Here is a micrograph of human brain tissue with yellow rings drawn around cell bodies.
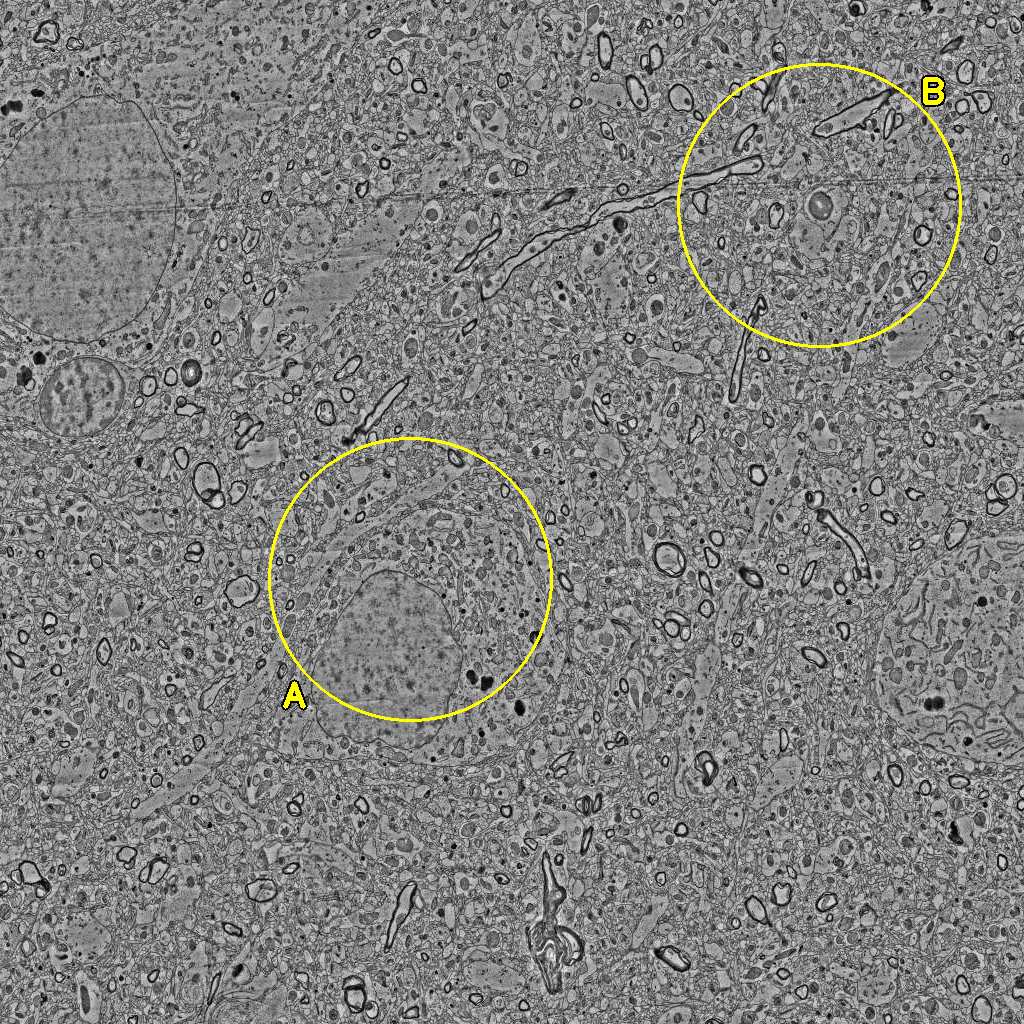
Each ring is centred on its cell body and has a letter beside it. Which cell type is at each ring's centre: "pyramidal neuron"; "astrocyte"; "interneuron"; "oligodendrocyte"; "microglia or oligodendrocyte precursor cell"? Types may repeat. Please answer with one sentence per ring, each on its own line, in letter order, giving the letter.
Ring A shows an interneuron at its centre.
Ring B shows a microglial cell or oligodendrocyte precursor cell at its centre.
